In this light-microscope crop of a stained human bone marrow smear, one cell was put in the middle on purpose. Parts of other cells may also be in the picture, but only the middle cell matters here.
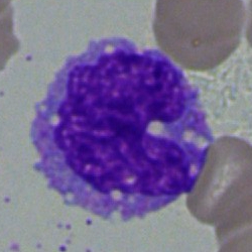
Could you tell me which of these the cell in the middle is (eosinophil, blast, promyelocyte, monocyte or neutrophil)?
monocyte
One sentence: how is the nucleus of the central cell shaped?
Have a look at the nucleus, which is one compact mass, round, oval or kidney-shaped.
